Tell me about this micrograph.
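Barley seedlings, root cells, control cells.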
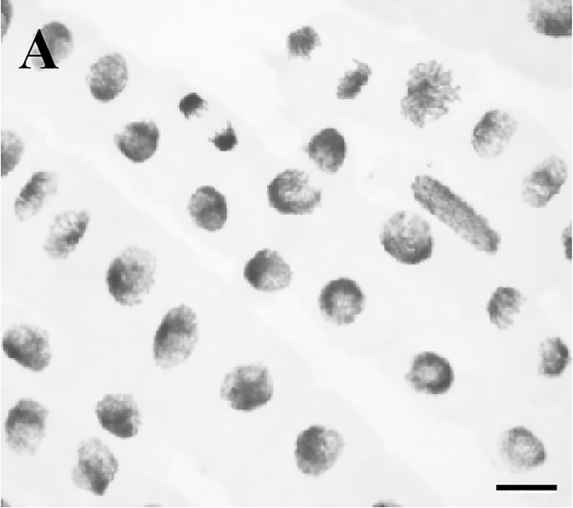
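Root cells in which round to oval interphase nuclei with granular dark chromatin lie spaced in fairly regular rows within faint cell outlines. Among them are dividing cells: one nucleus with condensed threadlike chromosomes, an elongated band of condensed chromosomes, and a pair of small dense chromatin clumps.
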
